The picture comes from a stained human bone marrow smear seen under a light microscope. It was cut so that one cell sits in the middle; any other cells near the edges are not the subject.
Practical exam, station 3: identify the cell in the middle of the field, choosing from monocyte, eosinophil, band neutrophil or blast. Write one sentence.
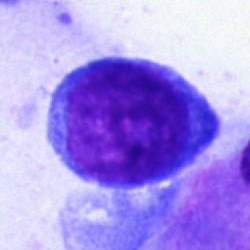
The target cell in the middle of the crop is a blast.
